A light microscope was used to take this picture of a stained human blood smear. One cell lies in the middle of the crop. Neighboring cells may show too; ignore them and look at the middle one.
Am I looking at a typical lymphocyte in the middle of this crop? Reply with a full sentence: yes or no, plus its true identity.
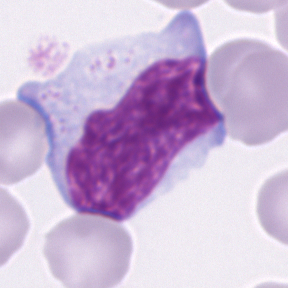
No, a large granular lymphocyte, not a typical lymphocyte, is what sits in the centre of the crop.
